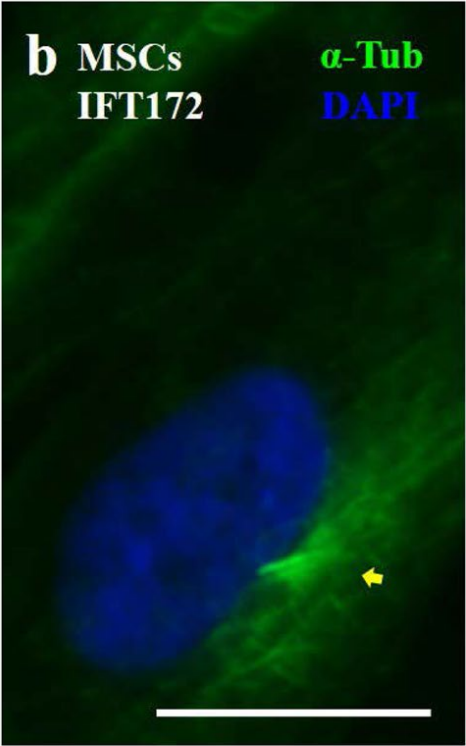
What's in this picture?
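A single elongated cell with an oval blue nucleus lies among faint green filaments running lengthwise through the cytoplasm. At the right edge of the nucleus a short, bright green rod stands out, a primary cilium.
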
